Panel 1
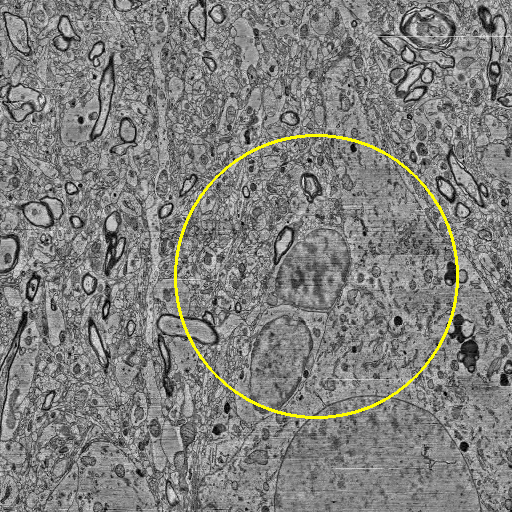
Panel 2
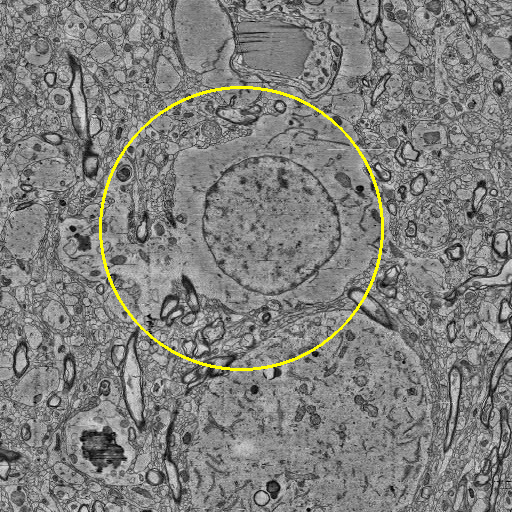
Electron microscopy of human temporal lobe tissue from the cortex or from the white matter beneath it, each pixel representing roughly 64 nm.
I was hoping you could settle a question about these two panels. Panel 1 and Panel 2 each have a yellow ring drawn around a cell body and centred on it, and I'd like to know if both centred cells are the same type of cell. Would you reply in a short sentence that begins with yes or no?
No, they are two types of cell.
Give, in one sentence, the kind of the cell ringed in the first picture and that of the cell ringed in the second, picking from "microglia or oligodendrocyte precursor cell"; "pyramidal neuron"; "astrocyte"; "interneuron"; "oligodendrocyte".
For the first picture it is an oligodendrocyte; for the second, an astrocyte.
